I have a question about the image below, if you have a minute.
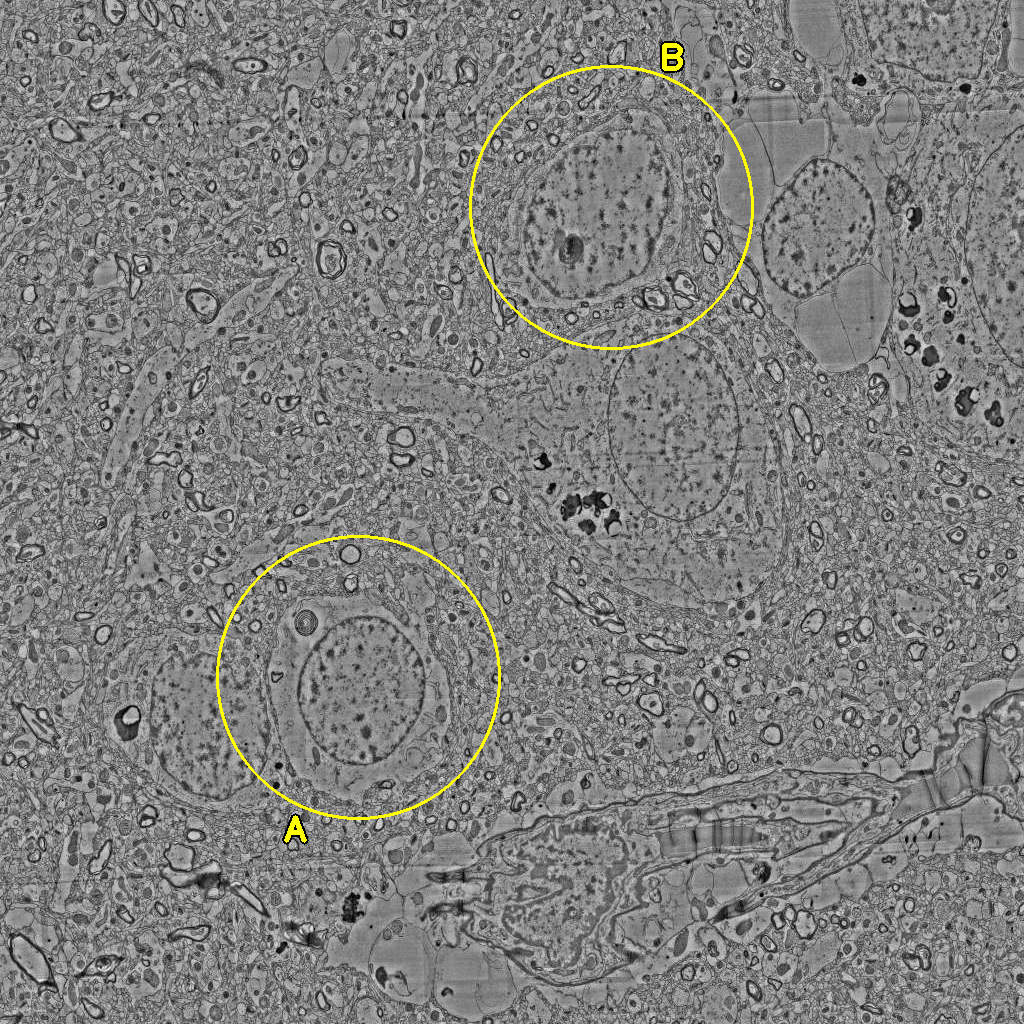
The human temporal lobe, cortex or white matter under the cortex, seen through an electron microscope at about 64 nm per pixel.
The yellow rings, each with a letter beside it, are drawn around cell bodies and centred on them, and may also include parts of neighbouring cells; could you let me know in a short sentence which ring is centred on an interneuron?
Ring B is centred on it.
